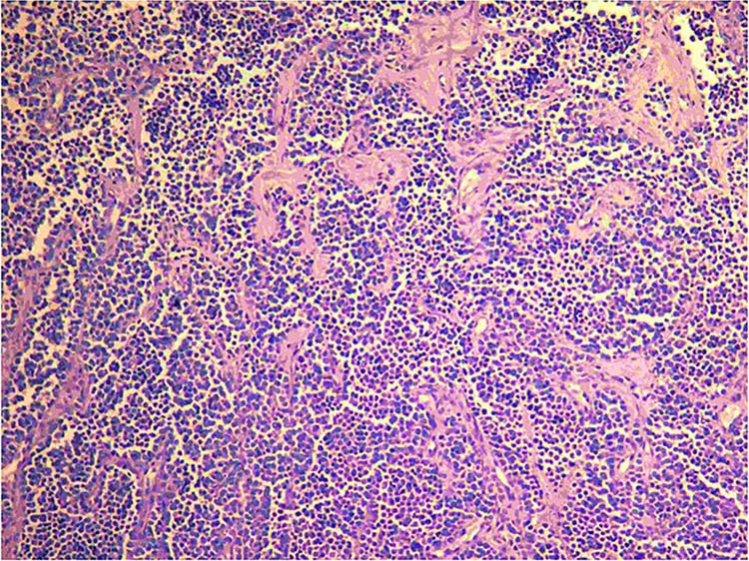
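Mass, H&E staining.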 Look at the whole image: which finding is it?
Alveolar subtype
